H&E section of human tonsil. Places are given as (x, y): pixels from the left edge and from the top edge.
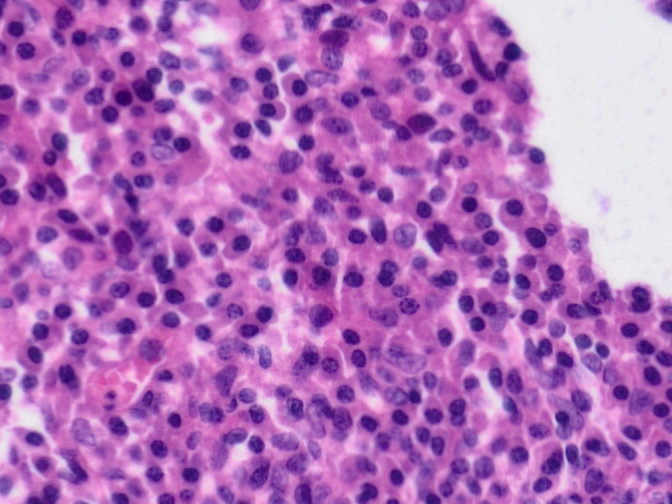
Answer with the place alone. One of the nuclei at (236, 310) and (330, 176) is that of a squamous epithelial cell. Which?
(330, 176)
